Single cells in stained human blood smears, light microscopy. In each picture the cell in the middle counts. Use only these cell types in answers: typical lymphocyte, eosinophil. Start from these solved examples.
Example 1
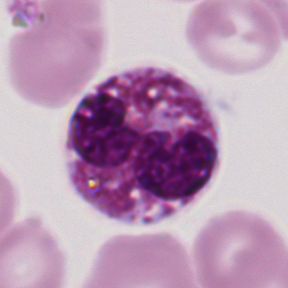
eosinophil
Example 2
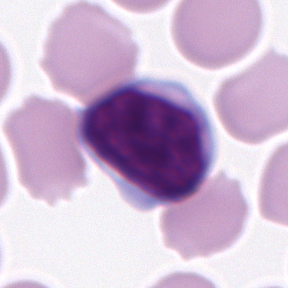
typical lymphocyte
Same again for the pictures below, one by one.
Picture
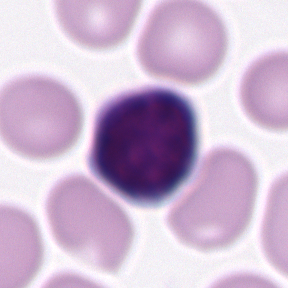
typical lymphocyte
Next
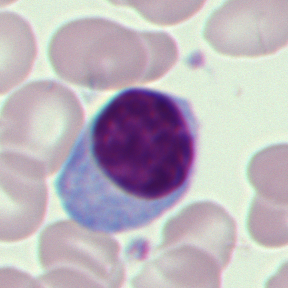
typical lymphocyte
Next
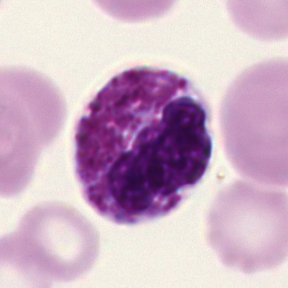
eosinophil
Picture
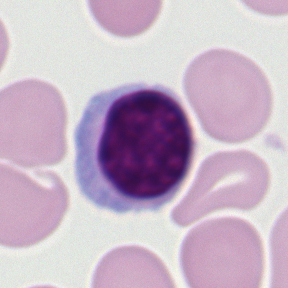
typical lymphocyte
